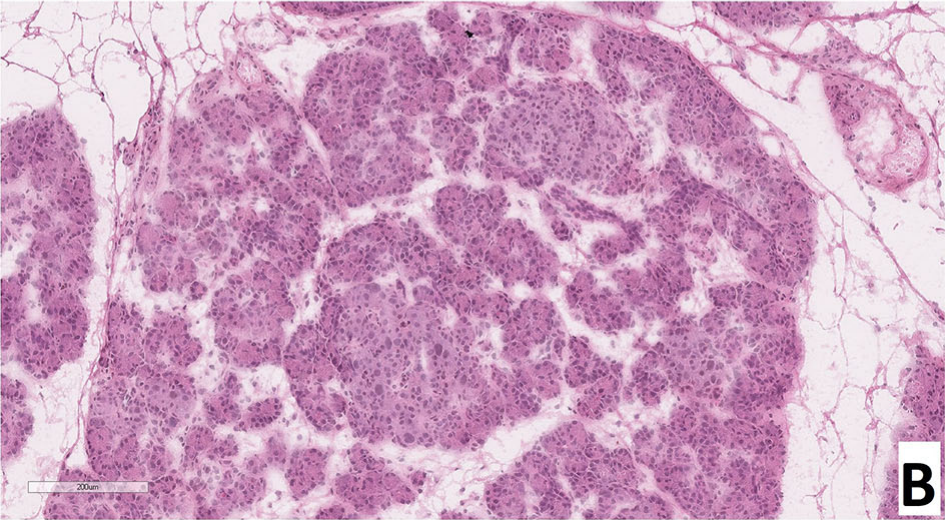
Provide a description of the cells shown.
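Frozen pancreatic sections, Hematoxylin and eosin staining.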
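This is a lobule of pancreas surrounded by loose fatty connective tissue with thin septa. Most of the lobule is made of small, rounded clusters of glandular cells with deep purple cytoplasm, separated by narrow clear spaces. Scattered among these clusters are somewhat paler pink areas where cells are arranged less in rounded clusters and more in sheets, corresponding to the endocrine islets; some of their nuclei look larger than those of the surrounding cells. At the upper right, outside the lobule, a small vessel sits in the fatty tissue.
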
